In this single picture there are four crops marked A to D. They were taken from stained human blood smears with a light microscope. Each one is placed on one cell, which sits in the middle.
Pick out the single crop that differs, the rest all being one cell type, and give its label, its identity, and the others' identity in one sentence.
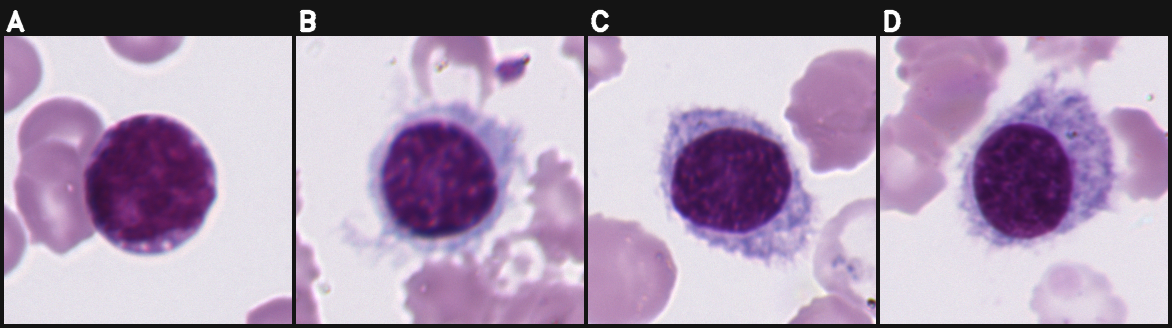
Unlike the other crops, which all show hairy cells, crop A is a myeloblast.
